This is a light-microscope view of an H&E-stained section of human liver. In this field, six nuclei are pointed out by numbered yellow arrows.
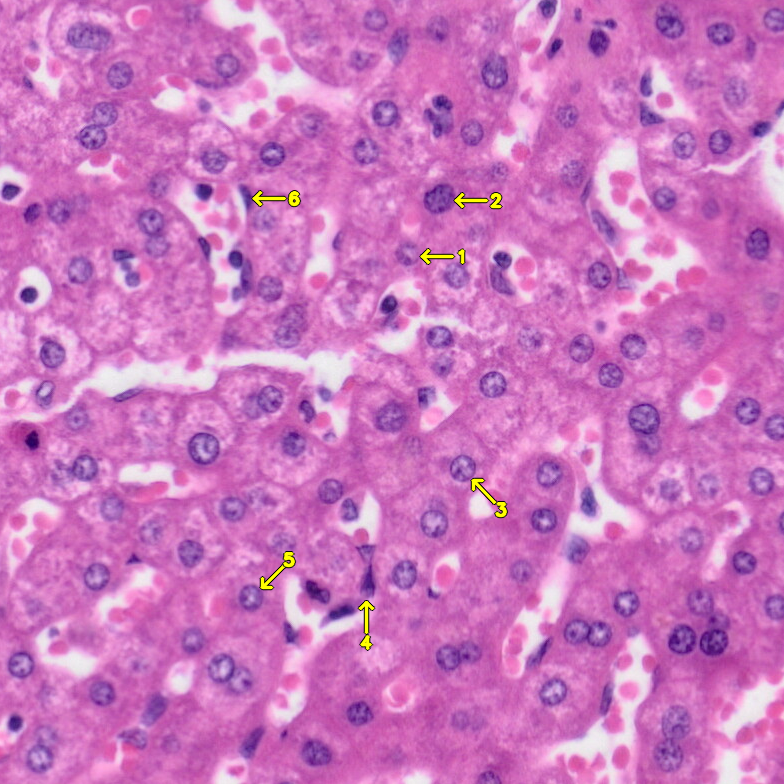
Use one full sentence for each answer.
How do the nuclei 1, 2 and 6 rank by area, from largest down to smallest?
Going from the biggest nucleus down to the smallest gives 2, 1, 6.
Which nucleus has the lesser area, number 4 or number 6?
Nucleus 6 is the smaller one; nucleus 4 covers about 1.5 times its area.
